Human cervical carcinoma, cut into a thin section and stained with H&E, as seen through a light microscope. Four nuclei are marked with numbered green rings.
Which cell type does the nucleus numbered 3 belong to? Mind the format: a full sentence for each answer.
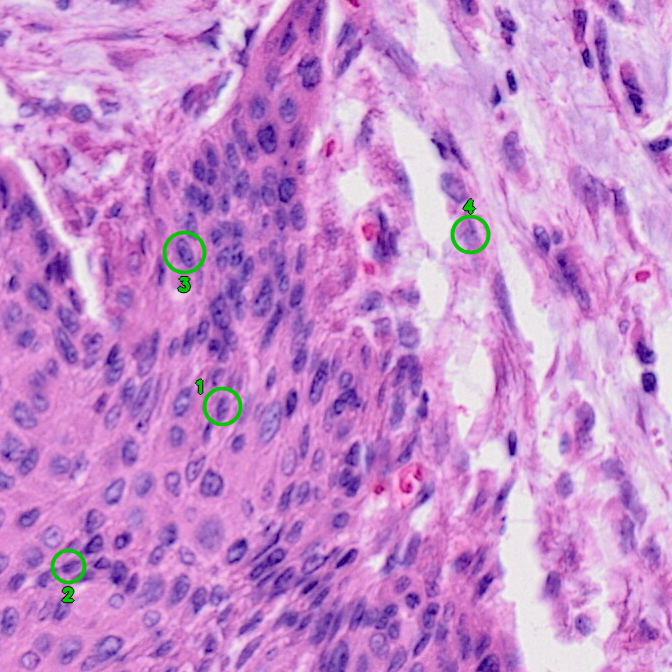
Among the marked cells, number 3 is a squamous carcinoma cell.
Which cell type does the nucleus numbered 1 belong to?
In this section, the cell tagged 1 is a squamous carcinoma cell.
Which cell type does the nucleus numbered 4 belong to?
The one labeled 4 is a fibroblast, to put it simply.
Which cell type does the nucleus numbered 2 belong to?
The cell indicated with the number 2 is classed as a squamous carcinoma cell.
